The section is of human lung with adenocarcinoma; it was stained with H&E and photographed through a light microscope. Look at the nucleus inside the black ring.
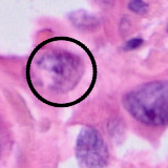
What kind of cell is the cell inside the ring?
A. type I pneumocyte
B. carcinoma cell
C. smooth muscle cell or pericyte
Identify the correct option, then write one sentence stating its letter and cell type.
Option B describes the cell inside the ring accurately as a carcinoma cell.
